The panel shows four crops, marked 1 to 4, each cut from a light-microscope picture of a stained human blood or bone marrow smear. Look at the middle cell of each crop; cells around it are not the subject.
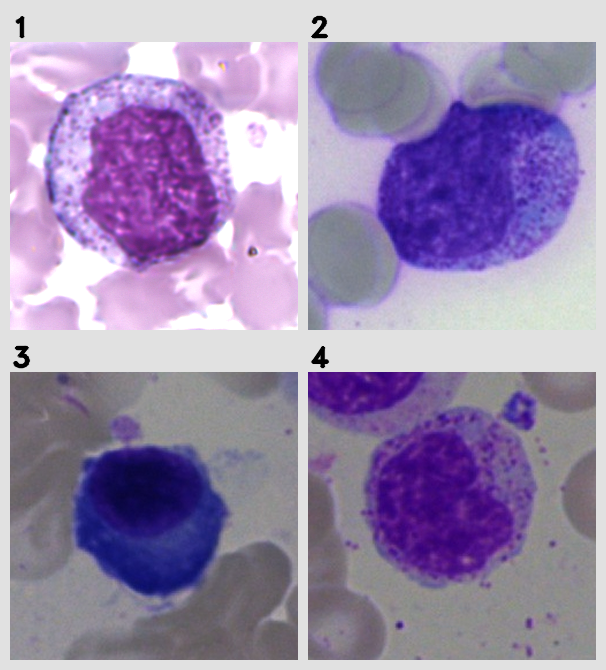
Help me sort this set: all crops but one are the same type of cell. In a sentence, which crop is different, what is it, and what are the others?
In this set the other crops all show myelocytes, and crop 3 shows a plasma cell.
